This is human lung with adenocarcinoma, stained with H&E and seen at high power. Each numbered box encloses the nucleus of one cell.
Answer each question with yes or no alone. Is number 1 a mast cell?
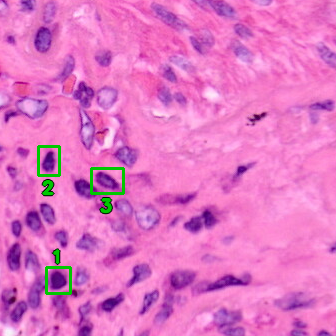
no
